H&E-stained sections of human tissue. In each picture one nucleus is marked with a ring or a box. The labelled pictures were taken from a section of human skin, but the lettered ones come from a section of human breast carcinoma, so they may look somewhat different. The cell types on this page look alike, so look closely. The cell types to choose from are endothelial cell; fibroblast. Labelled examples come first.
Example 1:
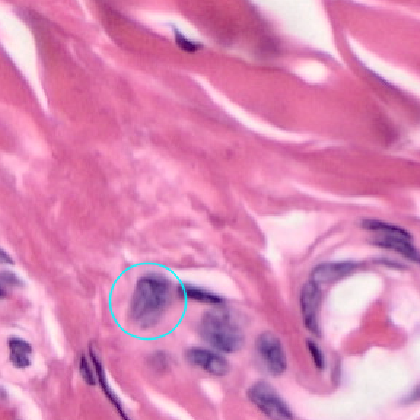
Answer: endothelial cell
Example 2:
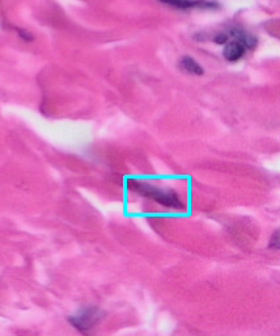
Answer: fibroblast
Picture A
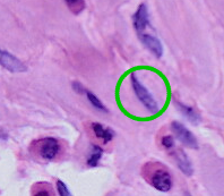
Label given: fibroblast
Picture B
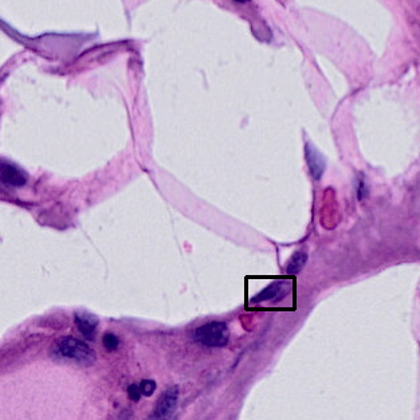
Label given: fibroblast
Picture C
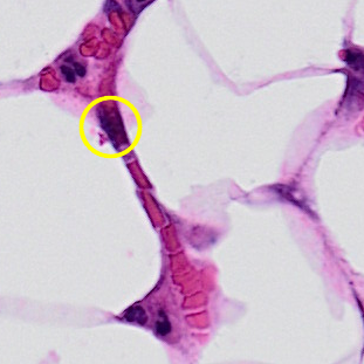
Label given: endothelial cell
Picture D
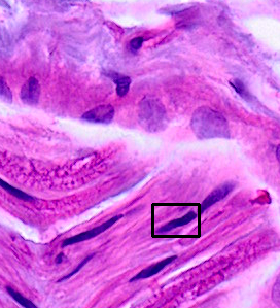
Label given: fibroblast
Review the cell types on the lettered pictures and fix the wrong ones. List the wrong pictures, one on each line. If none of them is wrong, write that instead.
B should be endothelial cell, not fibroblast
